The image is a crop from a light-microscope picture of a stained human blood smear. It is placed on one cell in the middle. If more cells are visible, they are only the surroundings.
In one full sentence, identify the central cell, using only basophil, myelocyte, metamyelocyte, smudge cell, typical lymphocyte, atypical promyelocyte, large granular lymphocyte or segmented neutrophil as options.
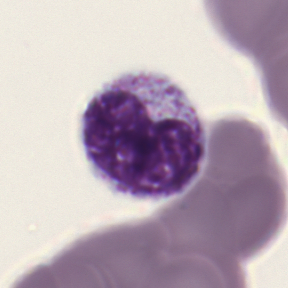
What the crop centres on is a metamyelocyte.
